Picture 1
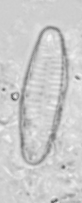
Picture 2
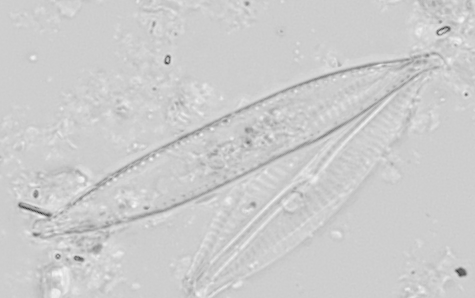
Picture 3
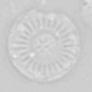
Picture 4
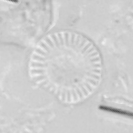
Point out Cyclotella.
That is picture 4.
